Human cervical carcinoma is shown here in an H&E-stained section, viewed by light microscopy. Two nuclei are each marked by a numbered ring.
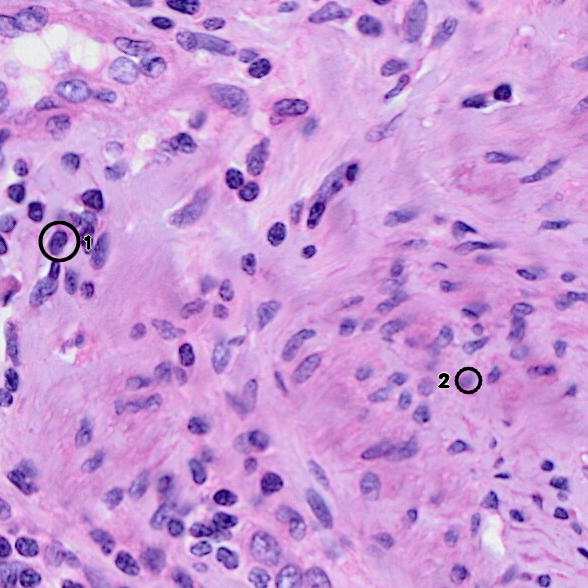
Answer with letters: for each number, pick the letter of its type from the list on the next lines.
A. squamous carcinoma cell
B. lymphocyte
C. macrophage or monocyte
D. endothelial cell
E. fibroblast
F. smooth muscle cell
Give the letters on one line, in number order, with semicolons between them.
B; F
